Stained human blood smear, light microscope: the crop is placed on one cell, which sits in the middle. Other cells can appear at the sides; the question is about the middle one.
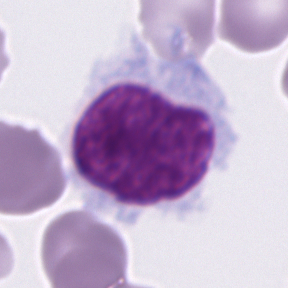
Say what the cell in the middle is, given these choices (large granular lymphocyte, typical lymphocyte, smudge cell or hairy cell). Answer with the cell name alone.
hairy cell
